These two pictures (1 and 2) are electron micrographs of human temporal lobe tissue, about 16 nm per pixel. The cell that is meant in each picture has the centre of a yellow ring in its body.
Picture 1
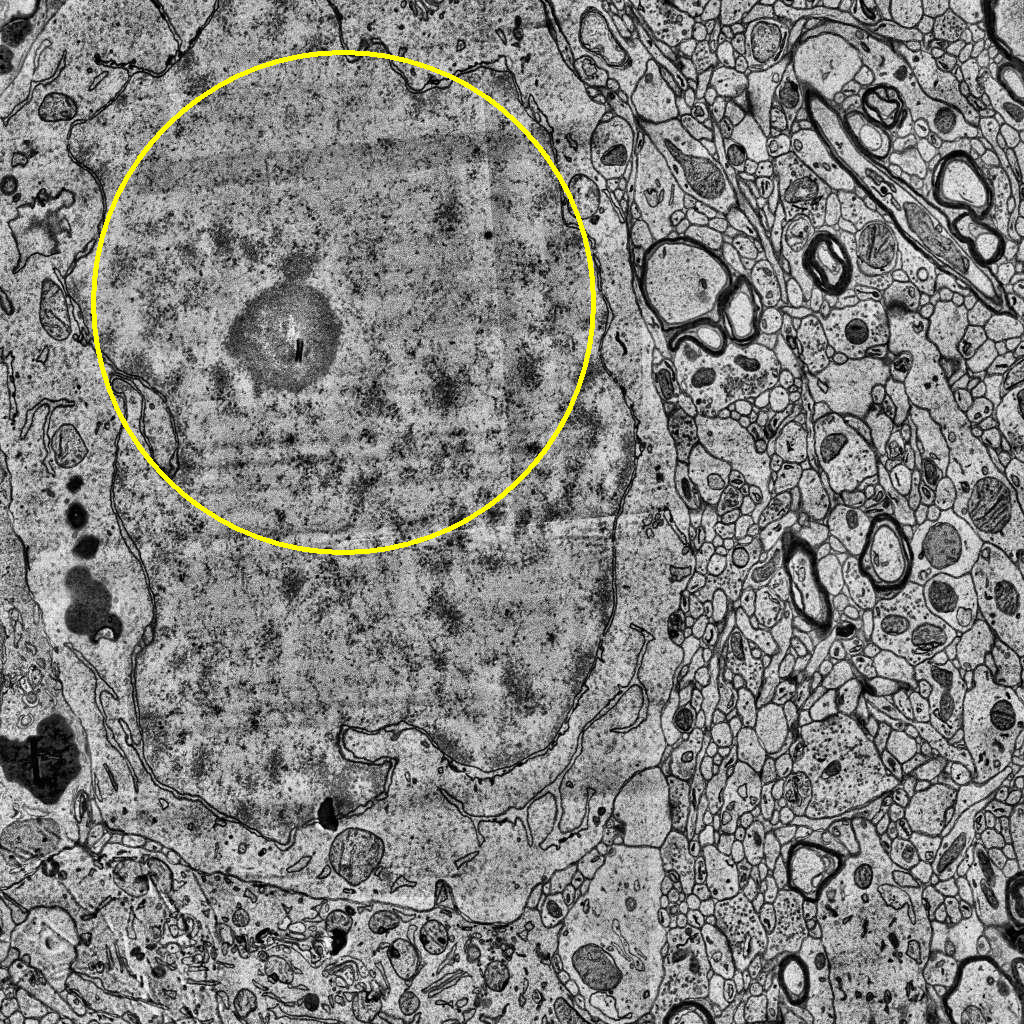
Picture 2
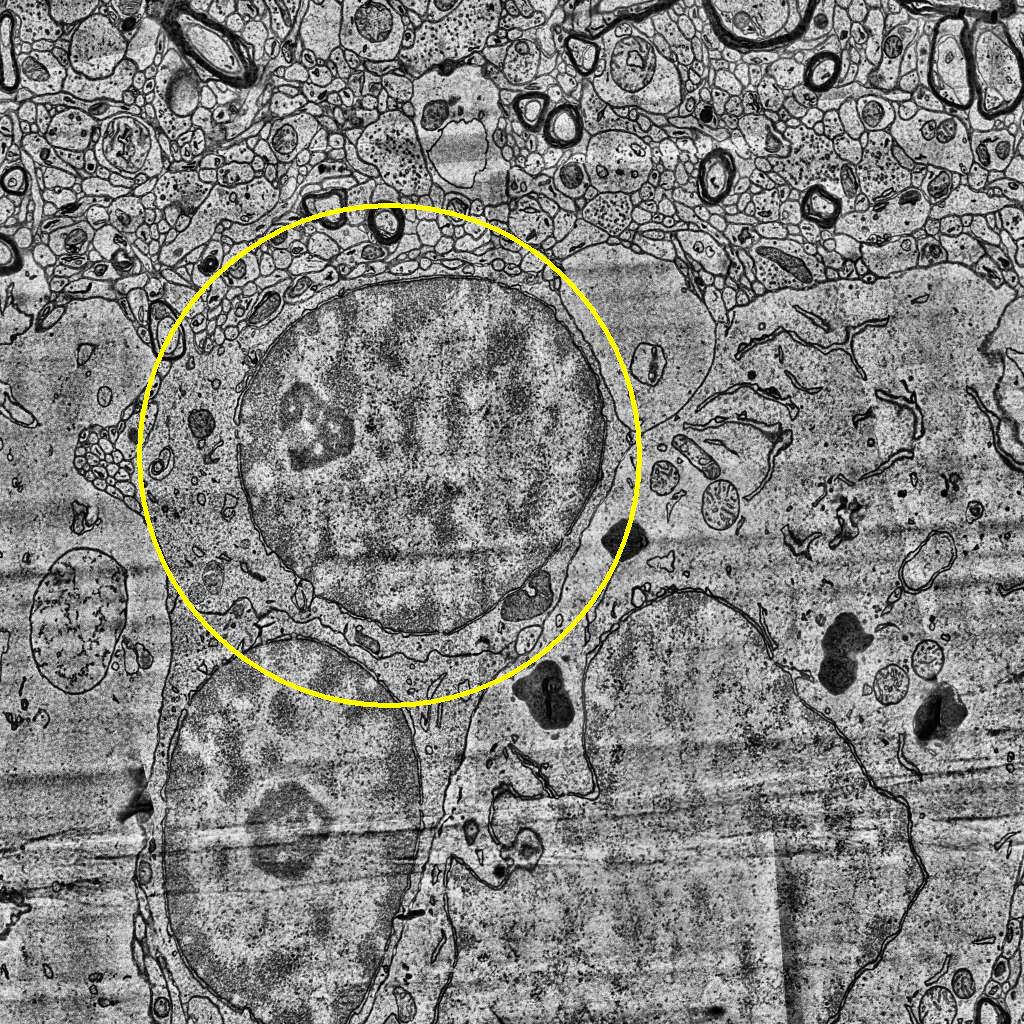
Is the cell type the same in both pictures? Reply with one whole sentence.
No, picture 1 shows an interneuron and picture 2 shows an oligodendrocyte.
